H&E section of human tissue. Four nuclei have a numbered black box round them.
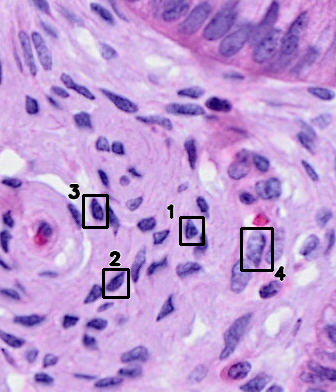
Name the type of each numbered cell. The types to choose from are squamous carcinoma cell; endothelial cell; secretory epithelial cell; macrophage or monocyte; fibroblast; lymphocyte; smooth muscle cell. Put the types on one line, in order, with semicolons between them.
fibroblast; fibroblast; fibroblast; endothelial cell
